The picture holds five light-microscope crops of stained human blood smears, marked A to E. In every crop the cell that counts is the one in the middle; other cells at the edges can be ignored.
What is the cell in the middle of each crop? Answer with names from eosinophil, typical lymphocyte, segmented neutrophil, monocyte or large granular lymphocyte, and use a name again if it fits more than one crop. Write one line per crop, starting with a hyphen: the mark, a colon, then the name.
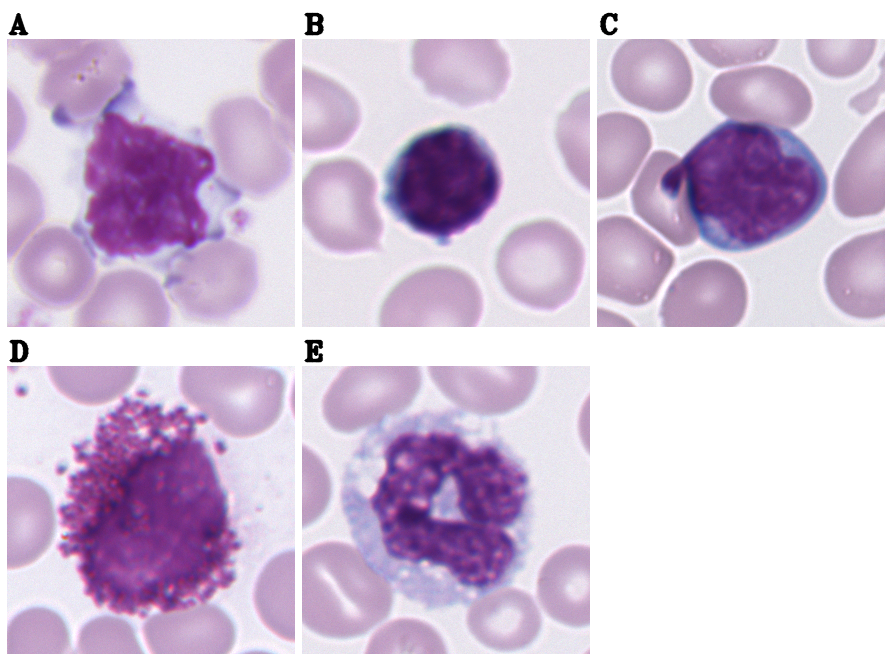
- A: typical lymphocyte
- B: typical lymphocyte
- C: typical lymphocyte
- D: eosinophil
- E: monocyte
